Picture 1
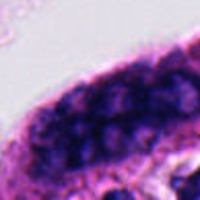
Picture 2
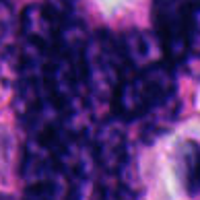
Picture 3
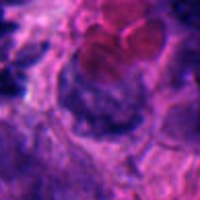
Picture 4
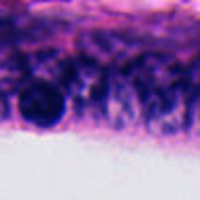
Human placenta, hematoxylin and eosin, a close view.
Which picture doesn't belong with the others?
Picture 3.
